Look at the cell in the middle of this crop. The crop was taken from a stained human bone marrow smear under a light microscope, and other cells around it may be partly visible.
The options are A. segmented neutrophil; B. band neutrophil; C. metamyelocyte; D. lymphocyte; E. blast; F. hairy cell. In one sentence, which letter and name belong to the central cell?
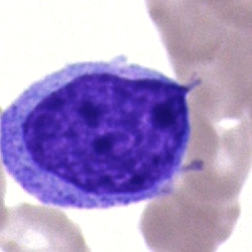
Option E is correct in naming the middle cell a blast.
